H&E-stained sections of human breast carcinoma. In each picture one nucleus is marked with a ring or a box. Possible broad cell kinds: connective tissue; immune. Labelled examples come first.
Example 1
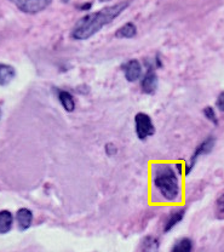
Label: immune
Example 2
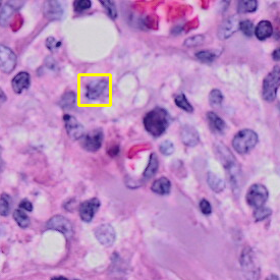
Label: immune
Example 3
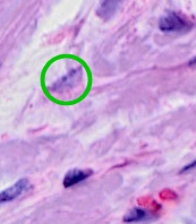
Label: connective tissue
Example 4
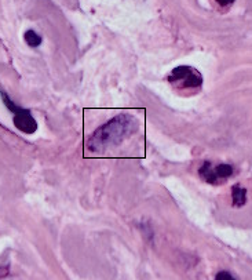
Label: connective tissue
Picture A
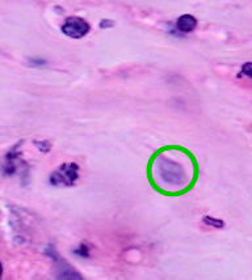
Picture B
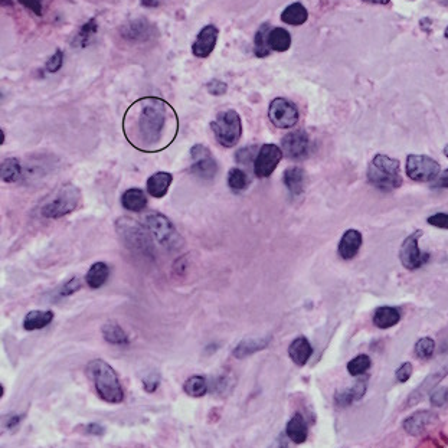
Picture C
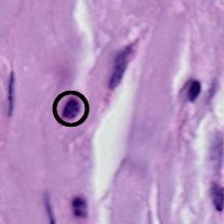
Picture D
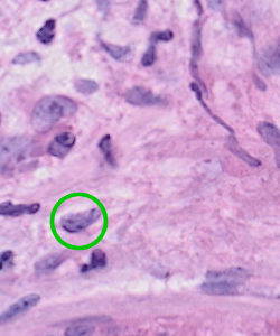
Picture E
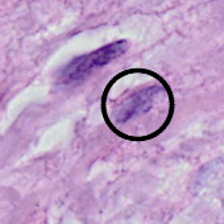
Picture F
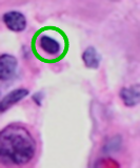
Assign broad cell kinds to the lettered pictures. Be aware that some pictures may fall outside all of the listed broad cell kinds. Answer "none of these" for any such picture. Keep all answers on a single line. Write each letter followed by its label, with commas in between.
A connective tissue, B immune, C immune, D immune, E connective tissue, F immune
